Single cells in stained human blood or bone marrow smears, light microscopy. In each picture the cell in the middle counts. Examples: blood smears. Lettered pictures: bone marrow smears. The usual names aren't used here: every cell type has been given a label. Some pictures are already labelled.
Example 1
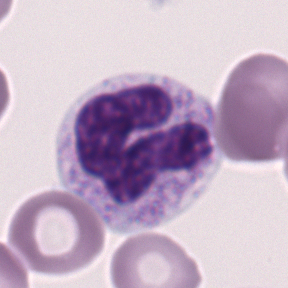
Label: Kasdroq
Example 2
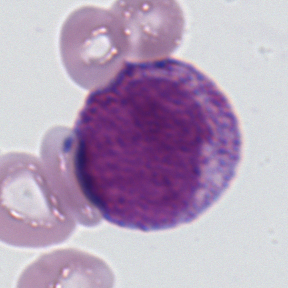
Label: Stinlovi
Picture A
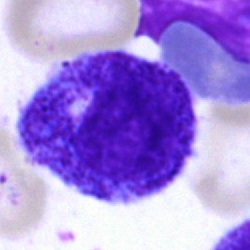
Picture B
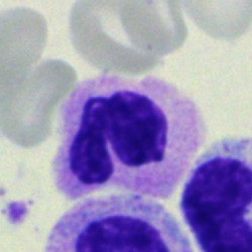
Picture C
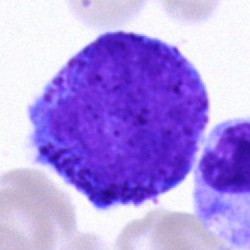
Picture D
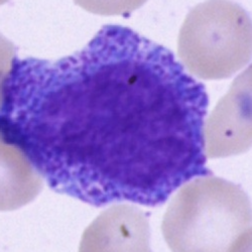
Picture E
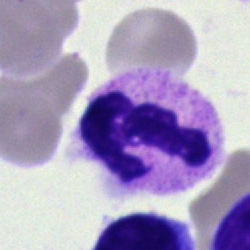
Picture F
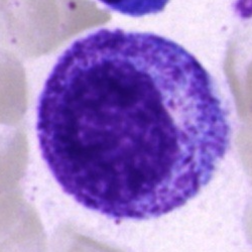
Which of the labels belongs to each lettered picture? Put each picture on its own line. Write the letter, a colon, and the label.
A: Stinlovi
B: Kasdroq
C: Stinlovi
D: Stinlovi
E: Kasdroq
F: Stinlovi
